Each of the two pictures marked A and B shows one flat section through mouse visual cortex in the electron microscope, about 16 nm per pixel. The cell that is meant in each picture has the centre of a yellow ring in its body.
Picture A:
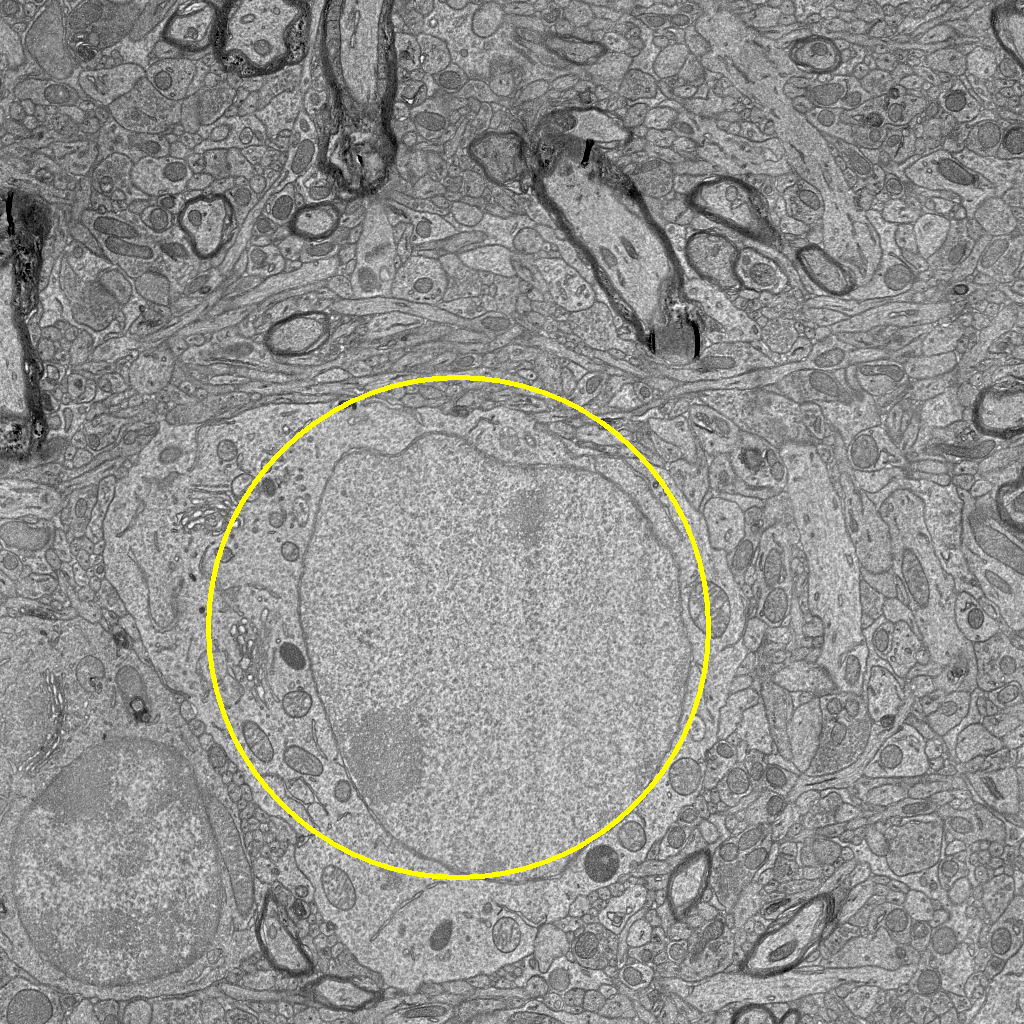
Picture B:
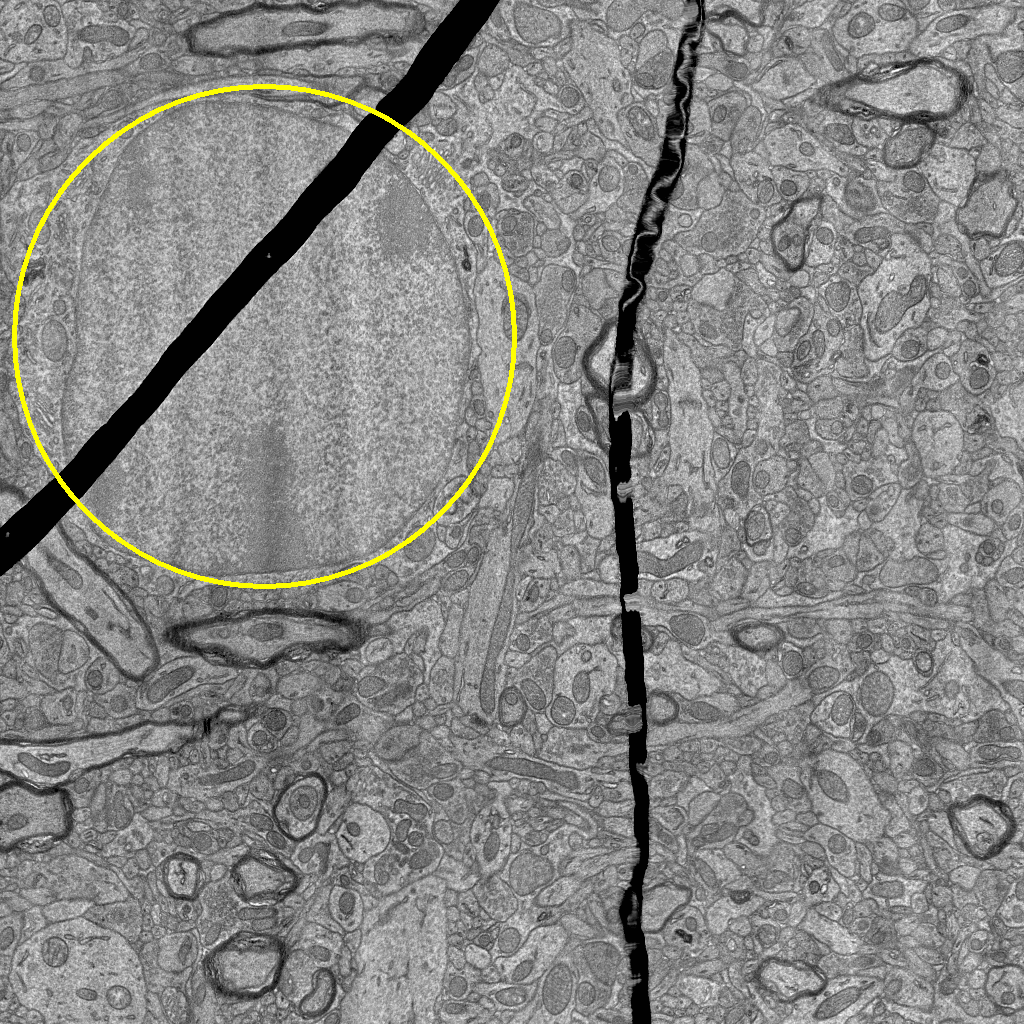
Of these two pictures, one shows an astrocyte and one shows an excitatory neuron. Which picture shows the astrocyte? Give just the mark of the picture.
B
